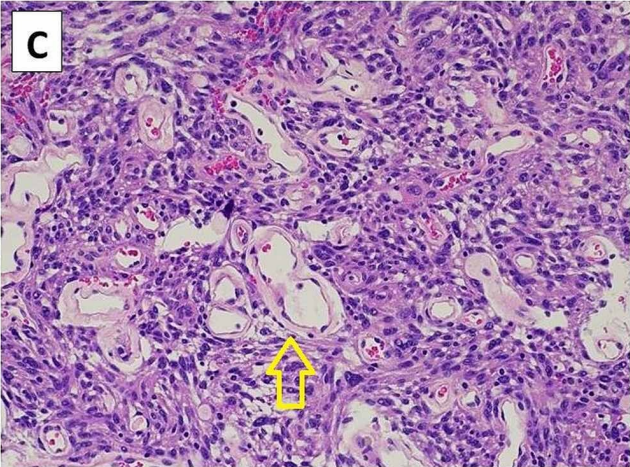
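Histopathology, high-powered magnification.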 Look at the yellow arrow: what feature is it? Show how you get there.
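Hyalinized vessels. Many such thick-walled vessels are scattered among the tumour cells. Some vessel lumina contain red blood cells.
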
